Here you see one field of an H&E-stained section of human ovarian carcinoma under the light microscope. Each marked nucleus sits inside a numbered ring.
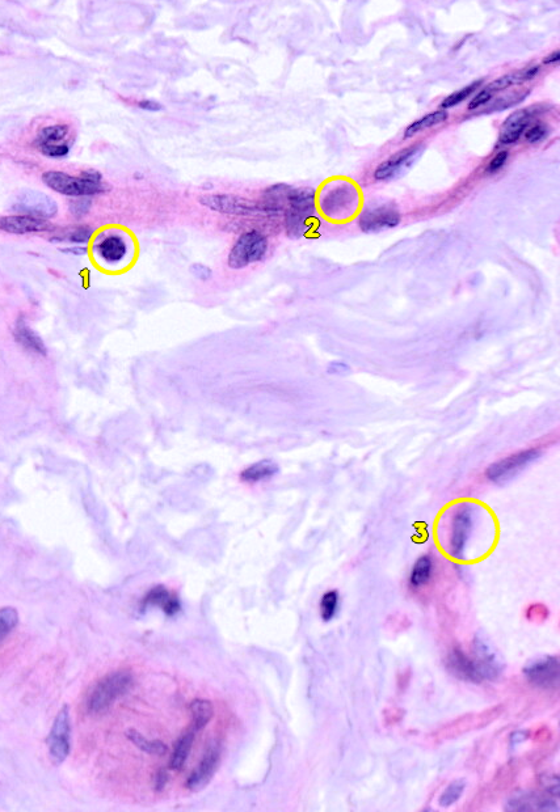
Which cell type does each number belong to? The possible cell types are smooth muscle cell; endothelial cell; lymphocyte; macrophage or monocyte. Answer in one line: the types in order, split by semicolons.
lymphocyte; endothelial cell; endothelial cell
